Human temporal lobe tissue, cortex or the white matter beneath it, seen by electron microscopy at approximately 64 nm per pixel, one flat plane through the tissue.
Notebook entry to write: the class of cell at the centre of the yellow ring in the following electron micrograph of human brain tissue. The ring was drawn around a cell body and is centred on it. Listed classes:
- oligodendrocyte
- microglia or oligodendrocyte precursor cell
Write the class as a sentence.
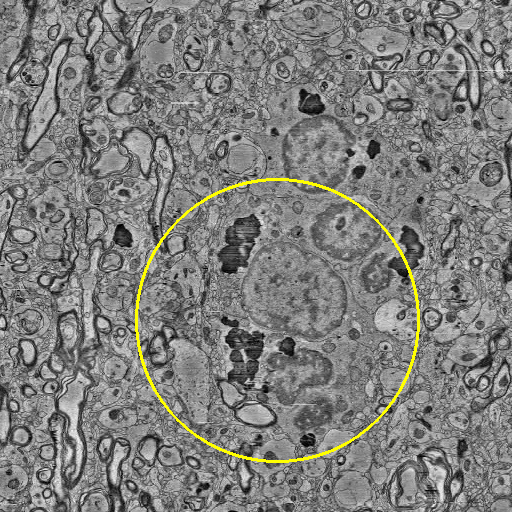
The yellow ring sits on an oligodendrocyte.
